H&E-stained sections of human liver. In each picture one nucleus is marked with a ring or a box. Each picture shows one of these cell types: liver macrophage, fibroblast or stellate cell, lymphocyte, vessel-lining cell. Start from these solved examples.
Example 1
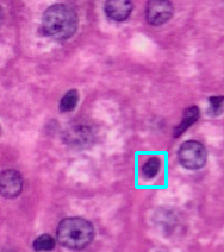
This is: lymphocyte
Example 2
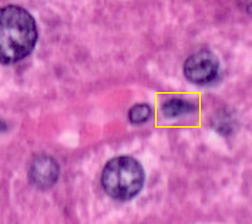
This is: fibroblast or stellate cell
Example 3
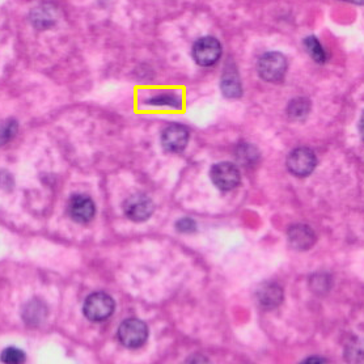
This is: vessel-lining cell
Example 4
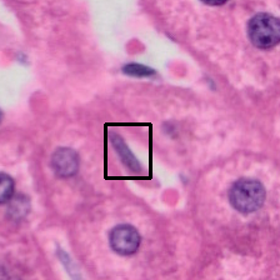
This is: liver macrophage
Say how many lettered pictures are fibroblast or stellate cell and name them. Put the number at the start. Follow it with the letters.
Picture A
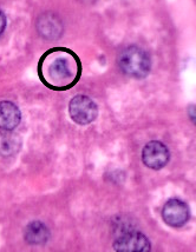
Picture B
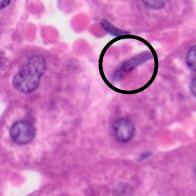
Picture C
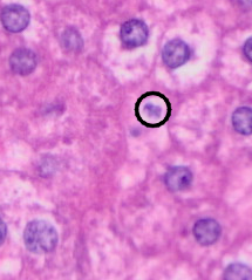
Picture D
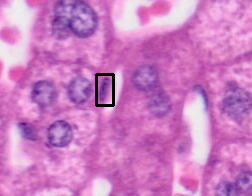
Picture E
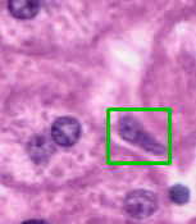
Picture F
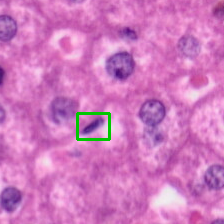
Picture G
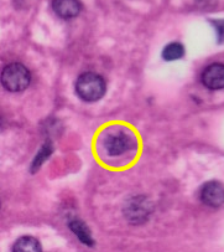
1, namely G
